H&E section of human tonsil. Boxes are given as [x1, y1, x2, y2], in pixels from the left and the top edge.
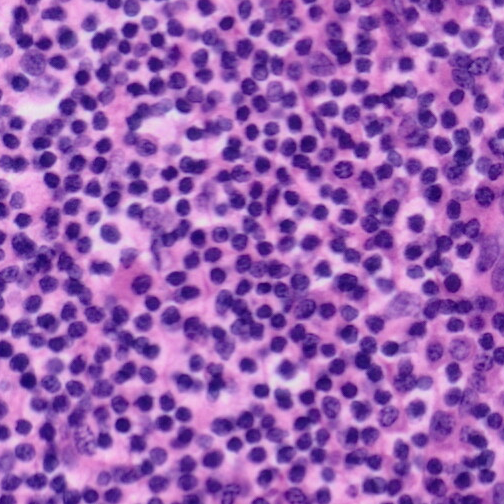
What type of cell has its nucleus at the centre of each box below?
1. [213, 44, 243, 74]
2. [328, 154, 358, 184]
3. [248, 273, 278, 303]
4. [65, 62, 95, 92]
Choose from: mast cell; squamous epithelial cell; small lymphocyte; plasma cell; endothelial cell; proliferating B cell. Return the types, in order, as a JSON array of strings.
["small lymphocyte", "plasma cell", "small lymphocyte", "small lymphocyte"]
